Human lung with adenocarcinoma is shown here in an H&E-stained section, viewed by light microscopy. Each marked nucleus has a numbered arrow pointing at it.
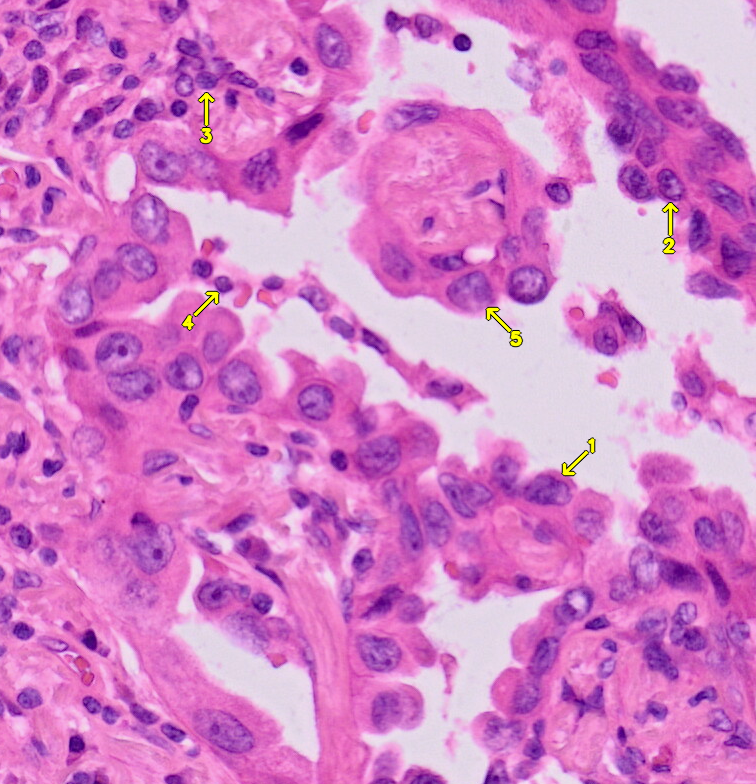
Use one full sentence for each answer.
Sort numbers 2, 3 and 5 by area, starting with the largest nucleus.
By area, largest first, they run 5, 2, 3.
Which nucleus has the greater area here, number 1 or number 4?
At about 4 times the area of nucleus 4, nucleus 1 is the larger of the two.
